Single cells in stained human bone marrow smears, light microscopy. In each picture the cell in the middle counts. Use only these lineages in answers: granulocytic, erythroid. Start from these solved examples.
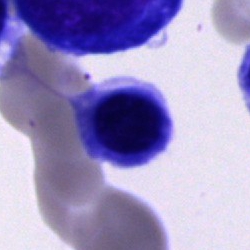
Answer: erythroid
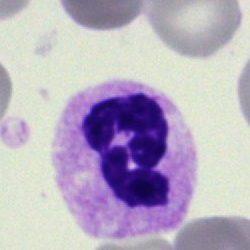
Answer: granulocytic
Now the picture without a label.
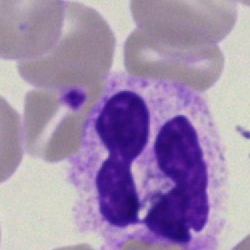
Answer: granulocytic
